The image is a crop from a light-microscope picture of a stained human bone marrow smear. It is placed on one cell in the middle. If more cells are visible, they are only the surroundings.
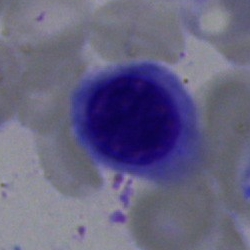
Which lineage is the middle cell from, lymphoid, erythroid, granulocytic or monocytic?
erythroid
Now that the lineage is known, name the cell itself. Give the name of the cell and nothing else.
erythroblast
